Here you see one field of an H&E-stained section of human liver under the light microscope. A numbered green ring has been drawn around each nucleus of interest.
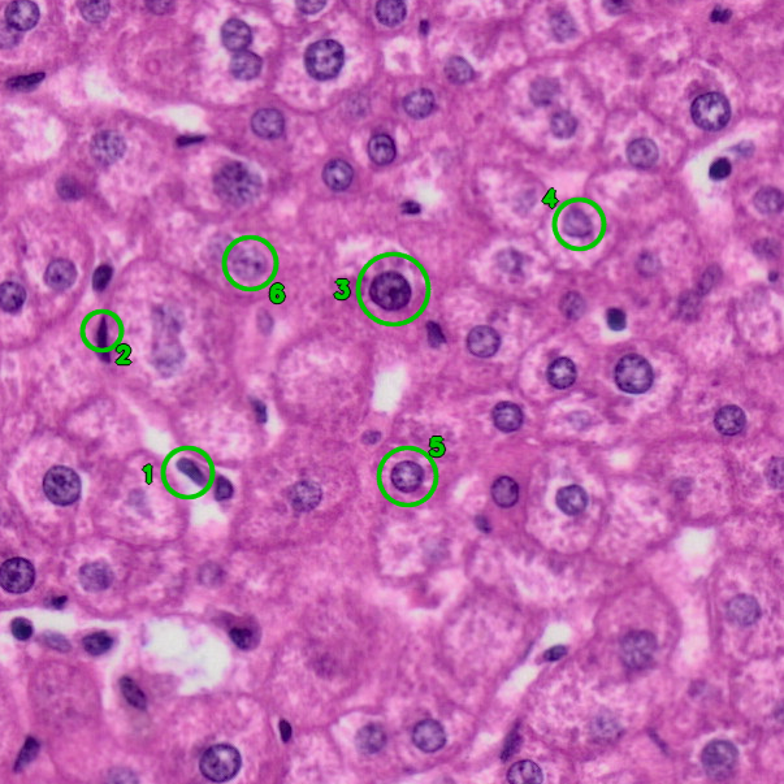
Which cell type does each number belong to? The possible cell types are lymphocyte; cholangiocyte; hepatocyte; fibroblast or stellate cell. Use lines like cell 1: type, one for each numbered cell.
cell 1: lymphocyte
cell 2: fibroblast or stellate cell
cell 3: hepatocyte
cell 4: hepatocyte
cell 5: hepatocyte
cell 6: hepatocyte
